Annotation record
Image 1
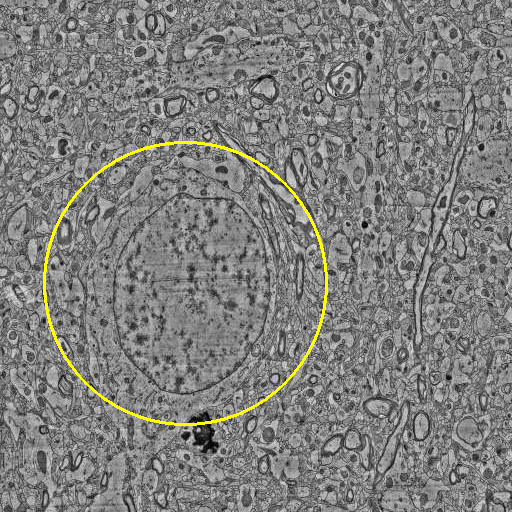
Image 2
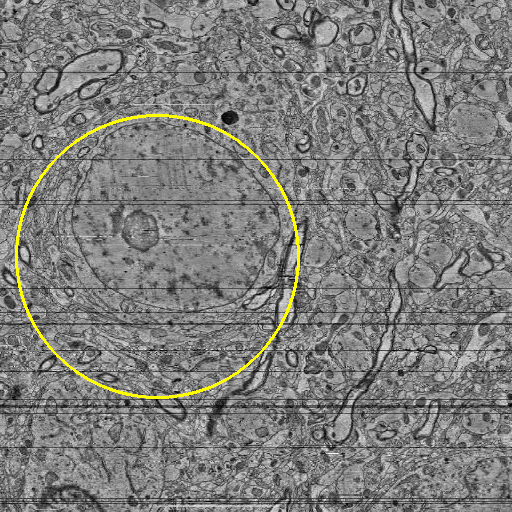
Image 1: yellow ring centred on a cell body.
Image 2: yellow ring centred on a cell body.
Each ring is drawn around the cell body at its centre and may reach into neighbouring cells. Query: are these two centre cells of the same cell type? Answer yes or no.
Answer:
yes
